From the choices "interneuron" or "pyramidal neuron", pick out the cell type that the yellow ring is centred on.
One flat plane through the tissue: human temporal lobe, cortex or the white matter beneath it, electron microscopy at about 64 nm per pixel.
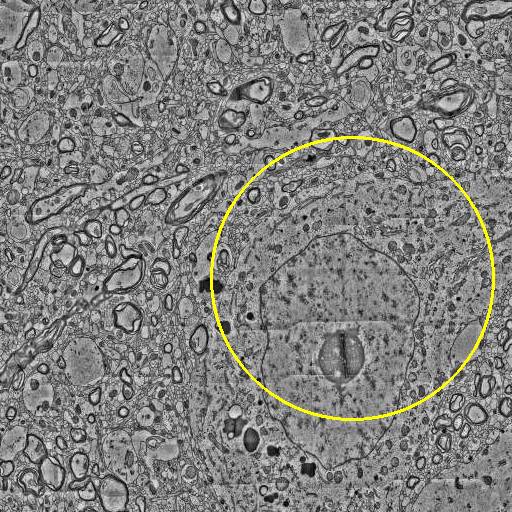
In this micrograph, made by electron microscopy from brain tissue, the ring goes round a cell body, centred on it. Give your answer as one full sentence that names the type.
The yellow ring is centred on a pyramidal neuron, whose cell body it encircles in the picture.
